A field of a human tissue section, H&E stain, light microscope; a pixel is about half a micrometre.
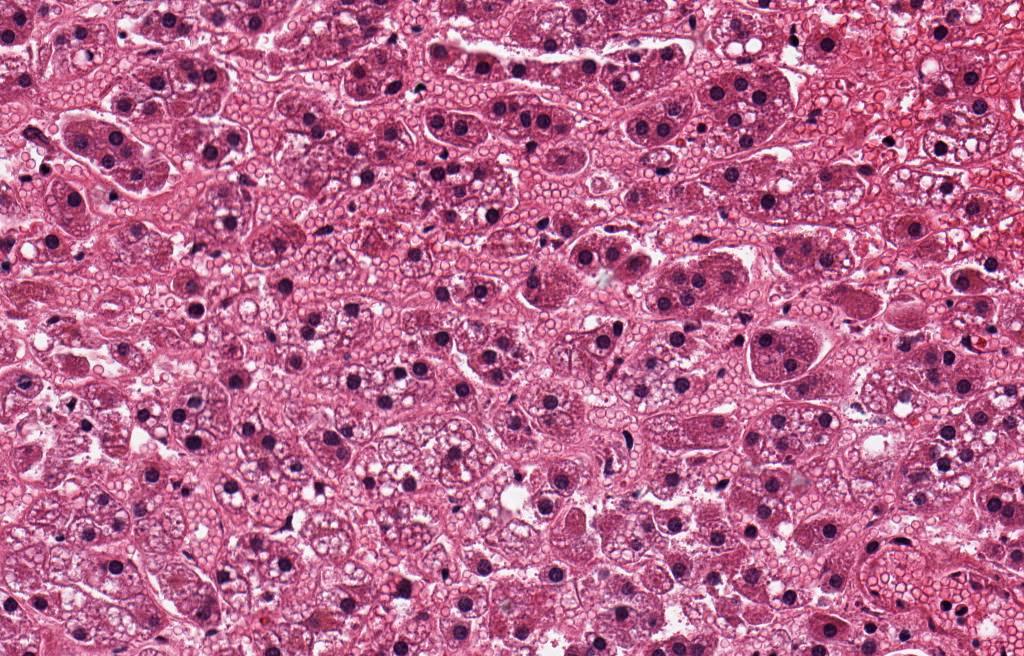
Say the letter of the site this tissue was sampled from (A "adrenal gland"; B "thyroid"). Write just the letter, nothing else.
A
